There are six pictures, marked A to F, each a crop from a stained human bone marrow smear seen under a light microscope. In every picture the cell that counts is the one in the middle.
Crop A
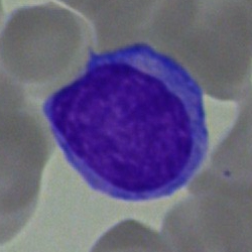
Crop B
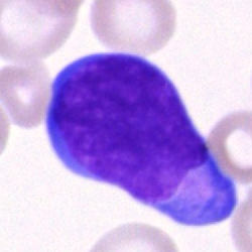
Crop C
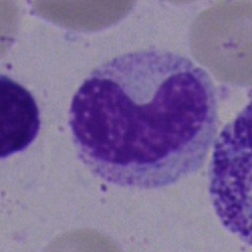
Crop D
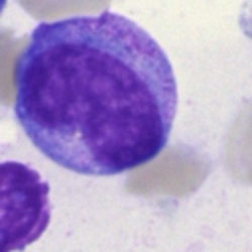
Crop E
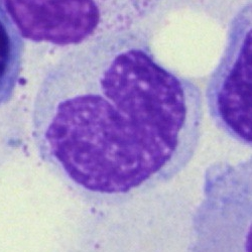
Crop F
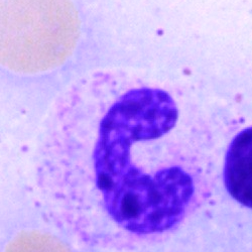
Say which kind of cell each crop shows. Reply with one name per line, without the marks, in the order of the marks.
blast
blast
band neutrophil
monocyte
monocyte
band neutrophil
